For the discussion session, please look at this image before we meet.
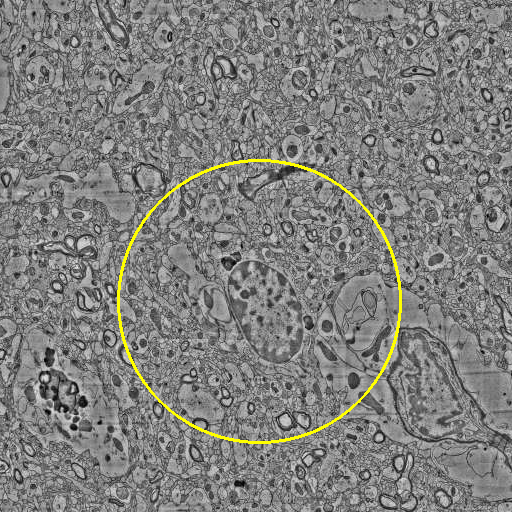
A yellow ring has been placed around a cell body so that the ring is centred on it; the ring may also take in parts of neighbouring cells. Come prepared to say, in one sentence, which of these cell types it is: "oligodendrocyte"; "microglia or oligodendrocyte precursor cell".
The cell centred in the ring is a microglial cell or oligodendrocyte precursor cell.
